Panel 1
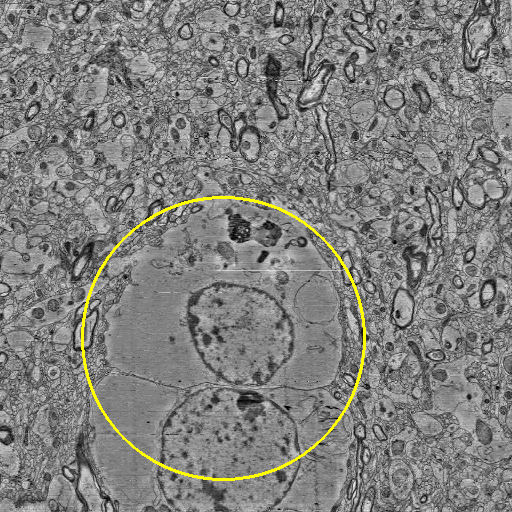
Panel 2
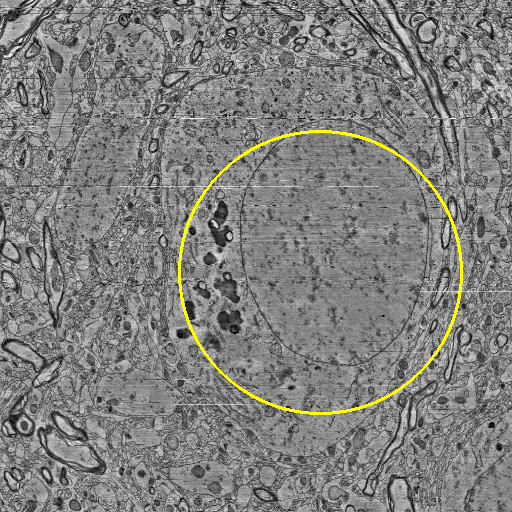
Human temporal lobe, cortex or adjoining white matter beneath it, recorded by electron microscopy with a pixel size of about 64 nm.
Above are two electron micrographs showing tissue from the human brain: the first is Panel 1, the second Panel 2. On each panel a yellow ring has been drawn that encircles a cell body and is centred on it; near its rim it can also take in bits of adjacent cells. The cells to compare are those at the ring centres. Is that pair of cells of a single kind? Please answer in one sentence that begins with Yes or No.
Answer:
No, the ring-centred cells of Panel 1 and Panel 2 belong to two kinds.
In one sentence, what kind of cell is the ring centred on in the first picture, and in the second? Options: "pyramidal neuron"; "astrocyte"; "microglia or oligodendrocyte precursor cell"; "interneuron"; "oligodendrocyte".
The cell at the centre of the second ring is a pyramidal neuron; the first ring's cell is an astrocyte.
